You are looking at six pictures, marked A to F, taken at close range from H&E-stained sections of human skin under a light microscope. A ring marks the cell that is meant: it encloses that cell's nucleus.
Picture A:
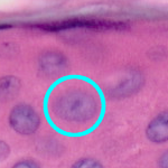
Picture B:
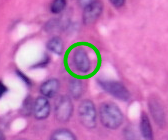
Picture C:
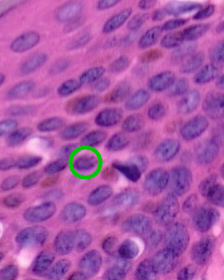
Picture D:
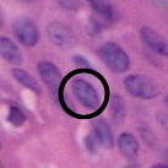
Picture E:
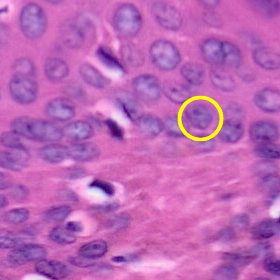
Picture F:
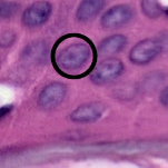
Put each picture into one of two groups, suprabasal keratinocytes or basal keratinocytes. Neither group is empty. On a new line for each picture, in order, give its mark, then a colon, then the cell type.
A: suprabasal keratinocyte
B: basal keratinocyte
C: basal keratinocyte
D: basal keratinocyte
E: basal keratinocyte
F: suprabasal keratinocyte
